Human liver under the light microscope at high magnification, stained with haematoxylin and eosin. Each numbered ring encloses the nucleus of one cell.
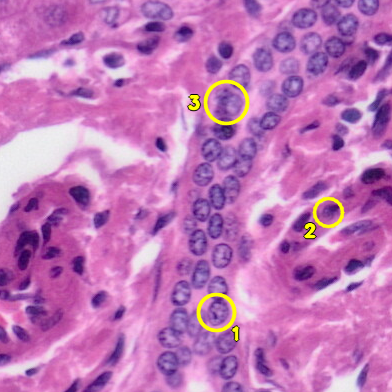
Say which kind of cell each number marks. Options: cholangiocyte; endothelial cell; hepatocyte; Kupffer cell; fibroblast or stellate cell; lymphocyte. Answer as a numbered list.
1. cholangiocyte
2. fibroblast or stellate cell
3. cholangiocyte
